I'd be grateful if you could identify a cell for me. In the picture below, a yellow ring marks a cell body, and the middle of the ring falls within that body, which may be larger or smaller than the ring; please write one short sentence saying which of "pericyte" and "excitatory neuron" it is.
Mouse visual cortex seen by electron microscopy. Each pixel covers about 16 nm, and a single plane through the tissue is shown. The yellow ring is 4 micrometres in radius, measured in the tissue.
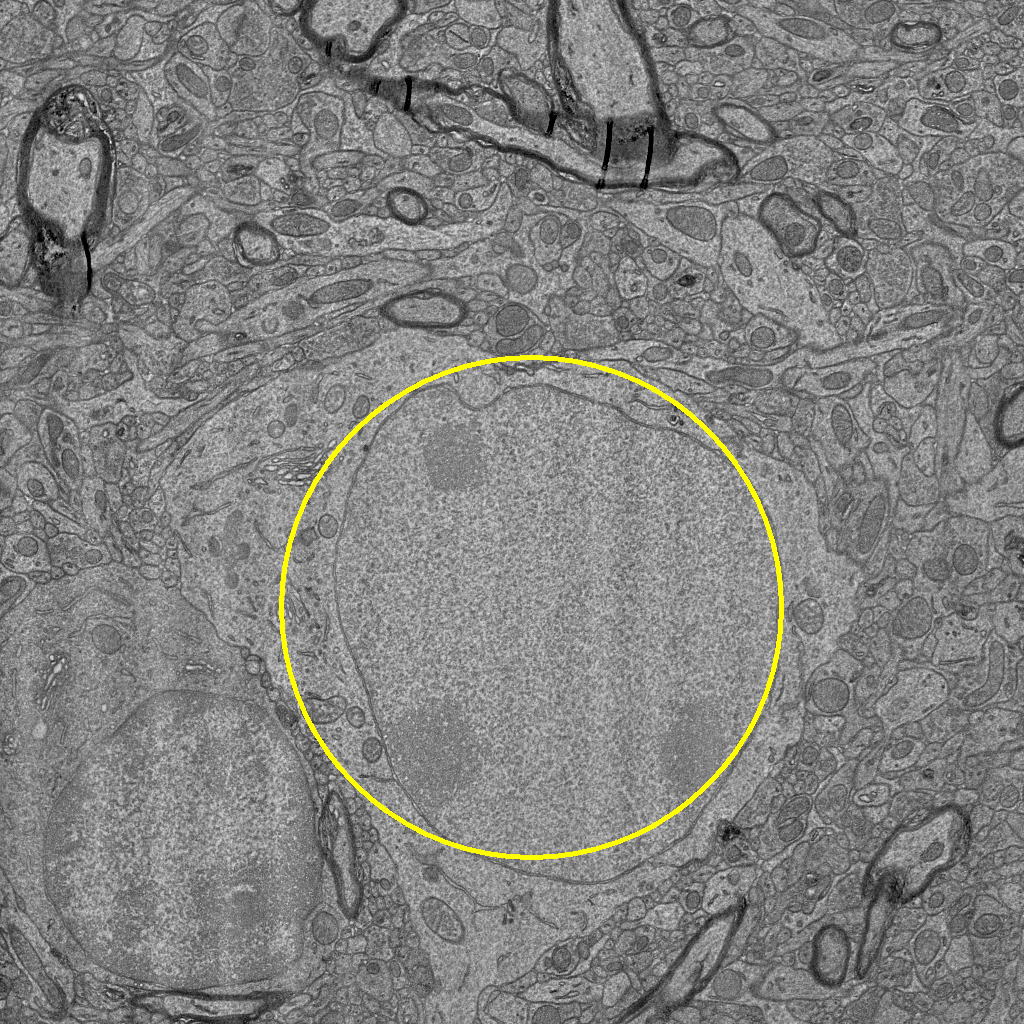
The cell under the ring's centre is an excitatory neuron.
